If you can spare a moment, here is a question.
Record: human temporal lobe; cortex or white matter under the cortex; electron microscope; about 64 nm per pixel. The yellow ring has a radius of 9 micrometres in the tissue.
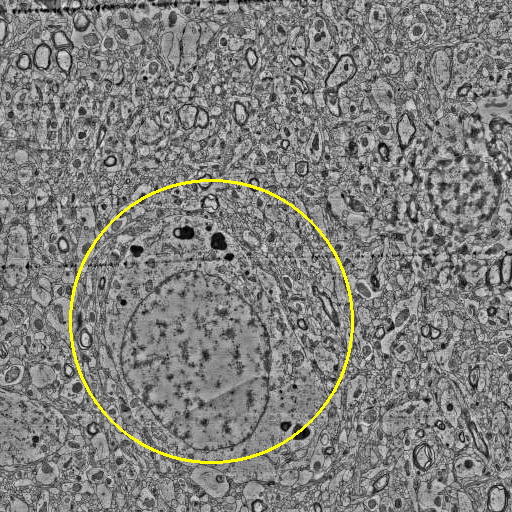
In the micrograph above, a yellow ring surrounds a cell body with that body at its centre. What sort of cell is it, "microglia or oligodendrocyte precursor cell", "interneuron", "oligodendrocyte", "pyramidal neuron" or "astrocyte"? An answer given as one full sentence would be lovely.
Centred inside the yellow ring, the cell body shown belongs to a pyramidal neuron in this micrograph.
